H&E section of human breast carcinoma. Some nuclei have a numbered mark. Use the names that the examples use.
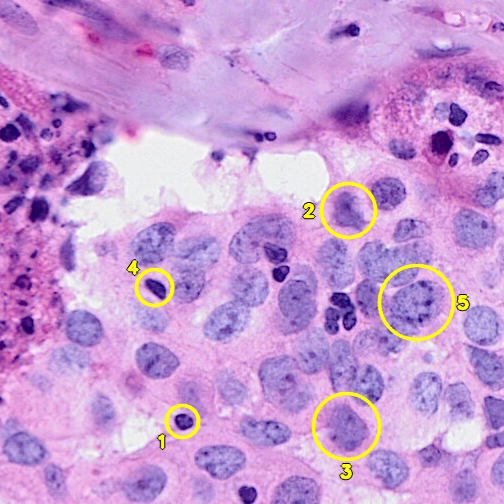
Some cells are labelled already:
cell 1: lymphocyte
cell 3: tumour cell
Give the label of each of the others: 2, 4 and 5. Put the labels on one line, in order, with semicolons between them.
tumour cell; lymphocyte; tumour cell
